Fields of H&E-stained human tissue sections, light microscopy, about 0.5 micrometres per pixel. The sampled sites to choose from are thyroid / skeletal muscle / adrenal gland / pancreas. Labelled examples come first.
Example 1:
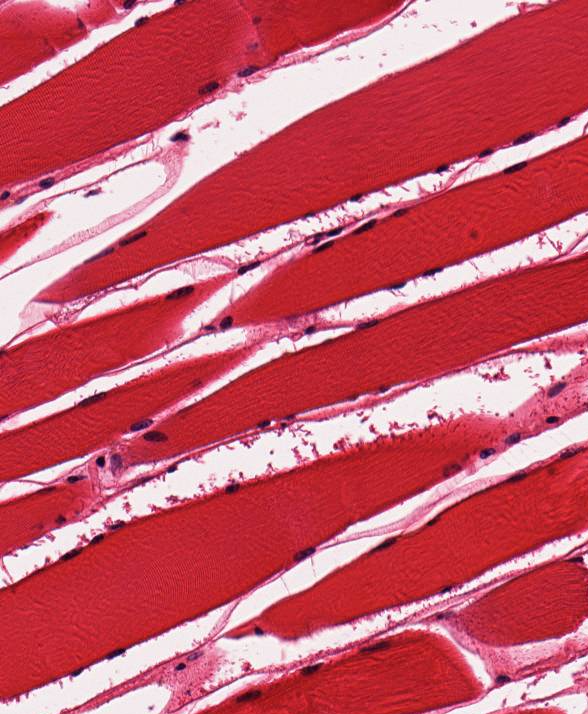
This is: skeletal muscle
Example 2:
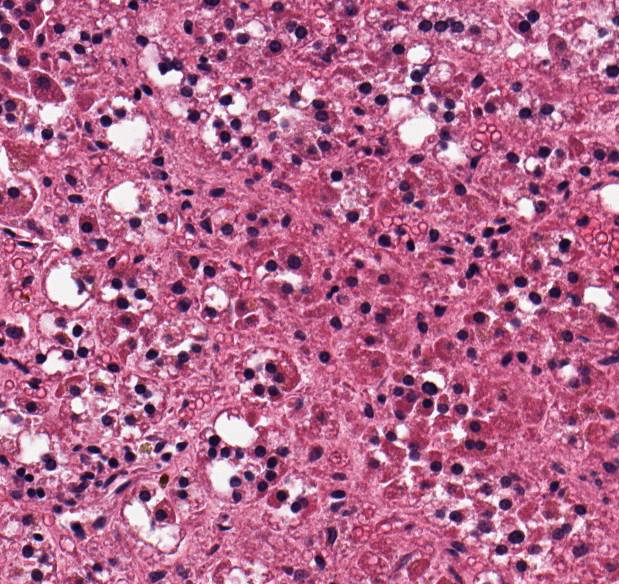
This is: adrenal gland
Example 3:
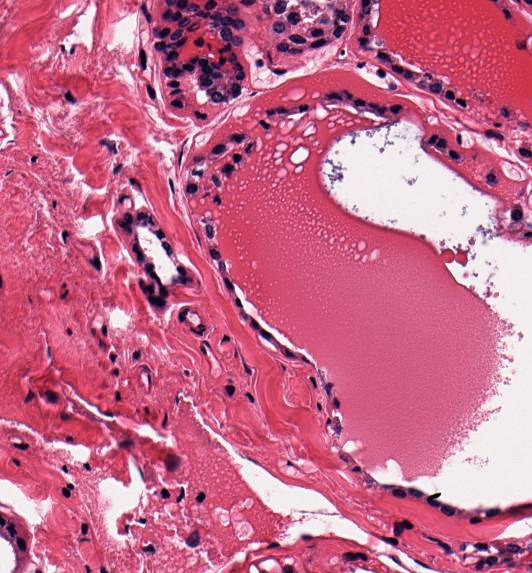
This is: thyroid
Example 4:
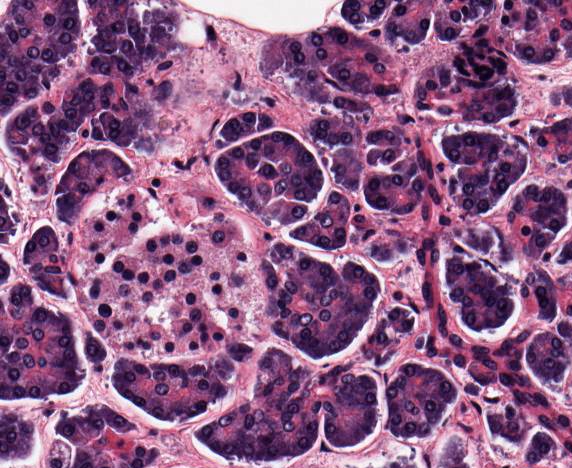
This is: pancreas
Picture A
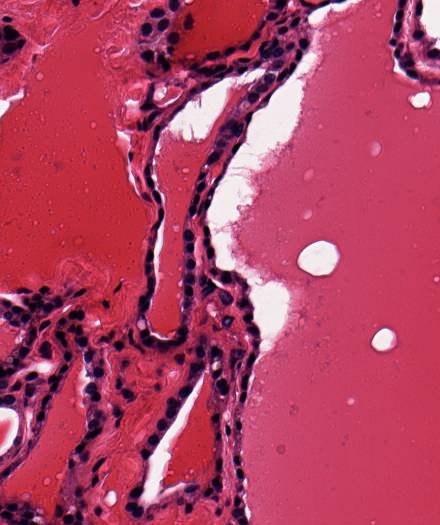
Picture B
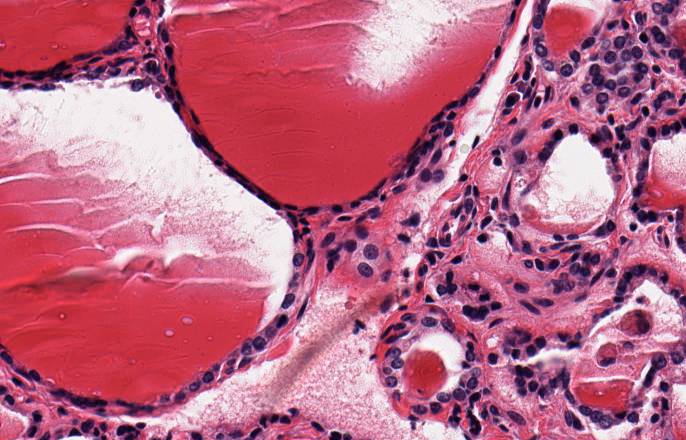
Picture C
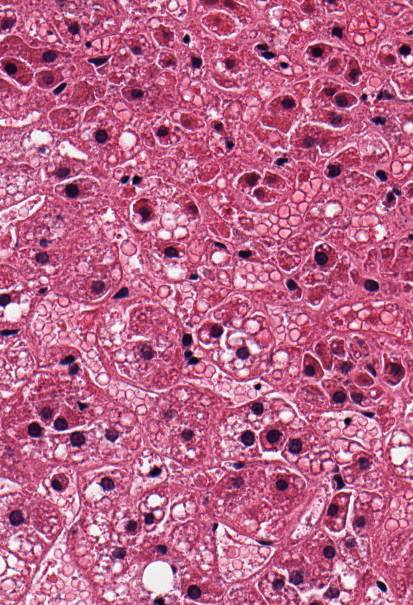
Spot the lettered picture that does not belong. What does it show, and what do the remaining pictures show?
Different: C, adrenal gland. Others: thyroid.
